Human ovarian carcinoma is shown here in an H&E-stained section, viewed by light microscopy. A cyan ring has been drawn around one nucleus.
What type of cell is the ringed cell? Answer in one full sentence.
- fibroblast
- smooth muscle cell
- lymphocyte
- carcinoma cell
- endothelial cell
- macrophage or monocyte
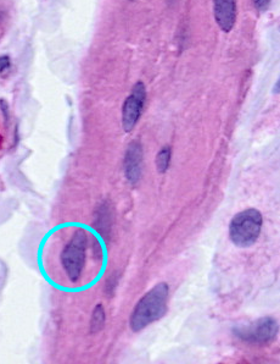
In this section, the ringed cell is a smooth muscle cell.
